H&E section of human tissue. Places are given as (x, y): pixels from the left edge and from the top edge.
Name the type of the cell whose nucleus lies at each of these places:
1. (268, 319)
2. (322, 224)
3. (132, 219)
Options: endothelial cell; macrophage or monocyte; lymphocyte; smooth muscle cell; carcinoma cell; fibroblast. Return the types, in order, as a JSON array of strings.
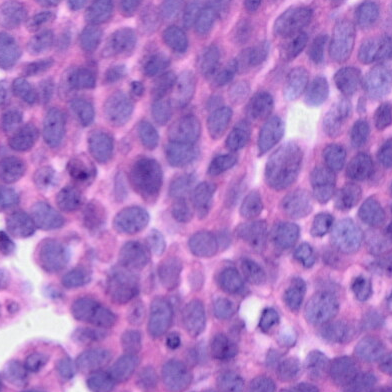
["macrophage or monocyte", "macrophage or monocyte", "carcinoma cell"]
